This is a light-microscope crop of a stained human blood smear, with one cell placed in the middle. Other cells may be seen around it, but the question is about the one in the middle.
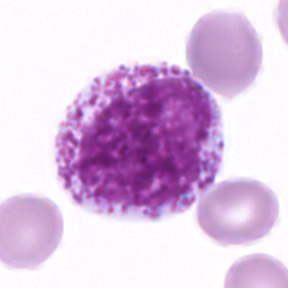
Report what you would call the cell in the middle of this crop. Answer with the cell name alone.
metamyelocyte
